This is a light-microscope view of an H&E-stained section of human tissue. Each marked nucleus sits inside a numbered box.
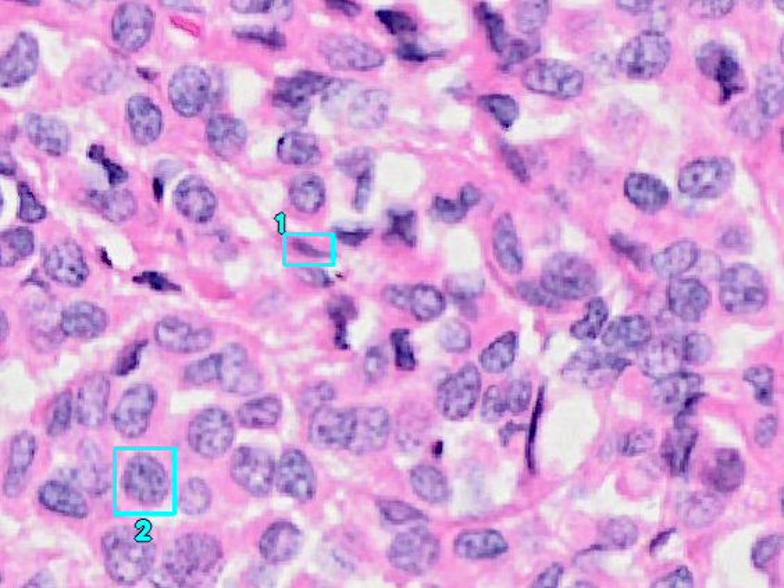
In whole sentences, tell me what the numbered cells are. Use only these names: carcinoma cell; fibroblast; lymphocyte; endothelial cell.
Cell 1 is an endothelial cell. Cell 2 is a carcinoma cell.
